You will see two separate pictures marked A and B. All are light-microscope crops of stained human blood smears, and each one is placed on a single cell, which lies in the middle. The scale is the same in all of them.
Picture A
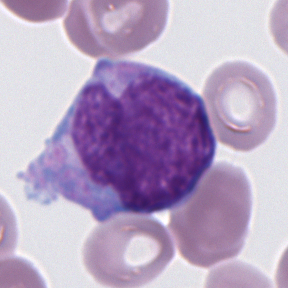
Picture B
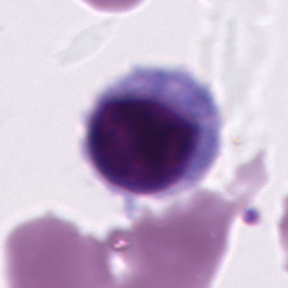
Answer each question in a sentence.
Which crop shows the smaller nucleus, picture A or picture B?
Picture B shows the smaller nucleus, since that in picture A covers about 2 times as much area.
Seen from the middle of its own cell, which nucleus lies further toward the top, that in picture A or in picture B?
In picture A the nucleus is shifted more toward the top.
